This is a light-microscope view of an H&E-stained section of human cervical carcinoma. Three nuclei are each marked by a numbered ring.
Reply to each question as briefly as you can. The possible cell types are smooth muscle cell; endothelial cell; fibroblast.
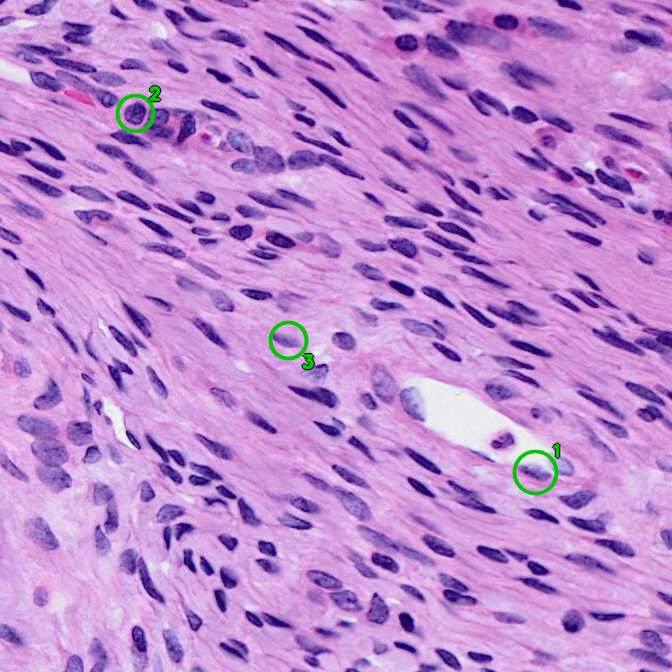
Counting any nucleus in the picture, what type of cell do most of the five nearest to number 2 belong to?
smooth muscle cell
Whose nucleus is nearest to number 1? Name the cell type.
endothelial cell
